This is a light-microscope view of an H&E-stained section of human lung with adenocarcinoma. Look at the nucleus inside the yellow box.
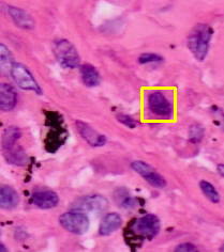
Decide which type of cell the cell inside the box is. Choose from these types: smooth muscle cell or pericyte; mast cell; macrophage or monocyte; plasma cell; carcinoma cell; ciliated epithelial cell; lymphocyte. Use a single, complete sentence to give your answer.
By cell type, the cell inside the box is a plasma cell.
